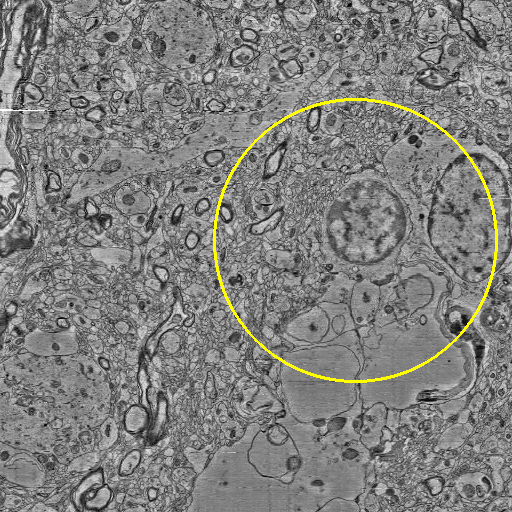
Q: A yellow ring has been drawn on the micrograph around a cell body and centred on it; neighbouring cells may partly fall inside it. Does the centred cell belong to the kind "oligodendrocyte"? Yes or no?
Yes, it belongs to that kind.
